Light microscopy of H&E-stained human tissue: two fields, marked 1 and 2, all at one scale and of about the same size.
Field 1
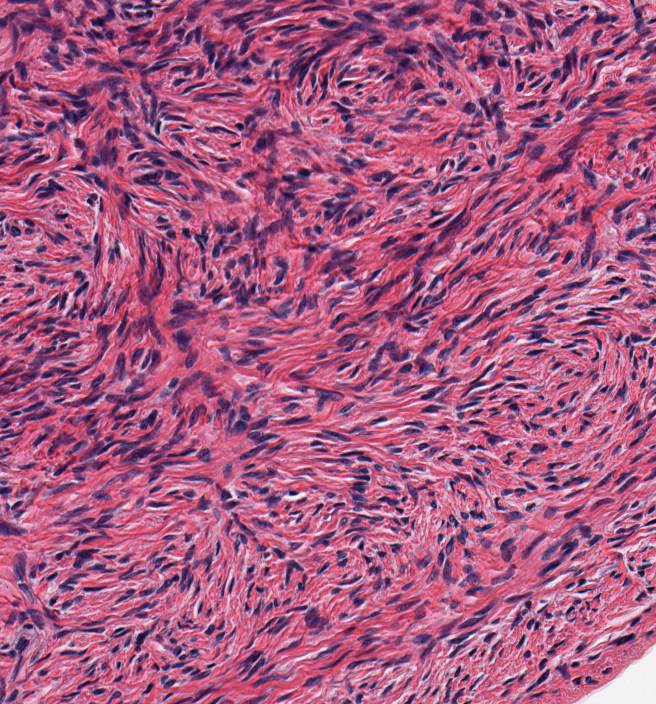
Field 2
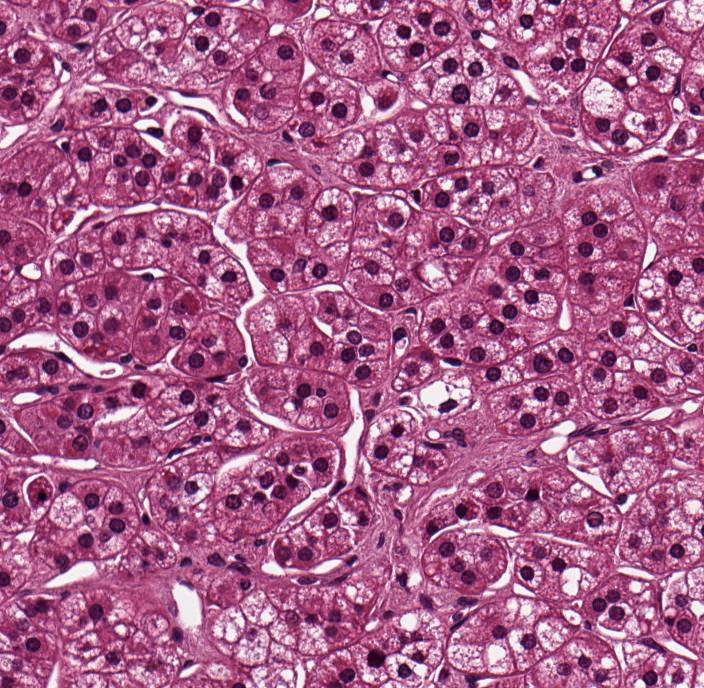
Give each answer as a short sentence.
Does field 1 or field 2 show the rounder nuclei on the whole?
Rounder nuclei lie in field 2.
